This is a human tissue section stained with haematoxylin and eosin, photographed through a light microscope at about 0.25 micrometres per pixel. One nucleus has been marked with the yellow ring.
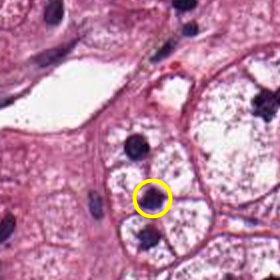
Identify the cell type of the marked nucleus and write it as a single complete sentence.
The cell to which the marked nucleus belongs is an adrenal cortical cell.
